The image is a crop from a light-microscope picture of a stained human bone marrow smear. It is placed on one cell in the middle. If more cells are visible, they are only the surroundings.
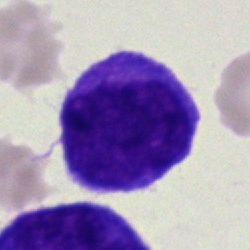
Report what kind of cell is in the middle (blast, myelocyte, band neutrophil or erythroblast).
blast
